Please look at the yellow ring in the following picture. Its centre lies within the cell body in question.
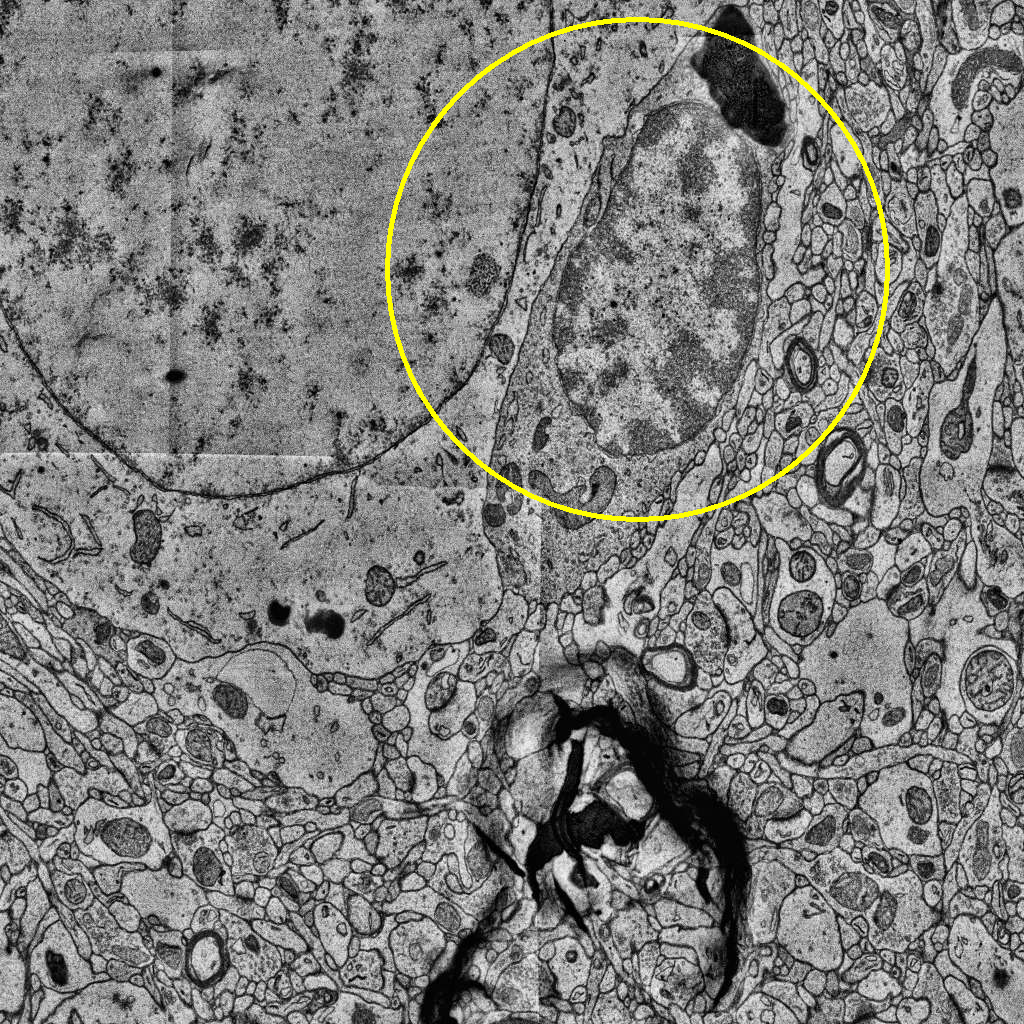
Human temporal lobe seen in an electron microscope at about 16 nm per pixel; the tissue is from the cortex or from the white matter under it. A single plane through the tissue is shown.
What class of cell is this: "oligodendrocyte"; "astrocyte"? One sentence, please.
The centre of the ring lies in the cell body of an oligodendrocyte.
